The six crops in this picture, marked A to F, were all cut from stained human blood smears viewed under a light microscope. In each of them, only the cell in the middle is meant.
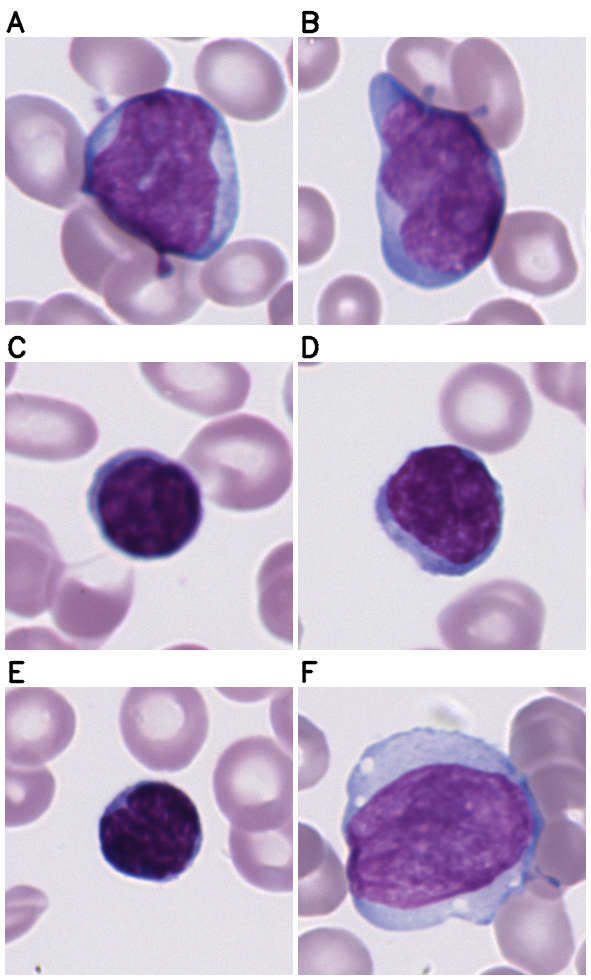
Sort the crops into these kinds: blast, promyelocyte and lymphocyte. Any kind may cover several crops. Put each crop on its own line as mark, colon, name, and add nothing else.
A: blast
B: blast
C: lymphocyte
D: lymphocyte
E: lymphocyte
F: blast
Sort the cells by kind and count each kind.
blast: 3
lymphocyte: 3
